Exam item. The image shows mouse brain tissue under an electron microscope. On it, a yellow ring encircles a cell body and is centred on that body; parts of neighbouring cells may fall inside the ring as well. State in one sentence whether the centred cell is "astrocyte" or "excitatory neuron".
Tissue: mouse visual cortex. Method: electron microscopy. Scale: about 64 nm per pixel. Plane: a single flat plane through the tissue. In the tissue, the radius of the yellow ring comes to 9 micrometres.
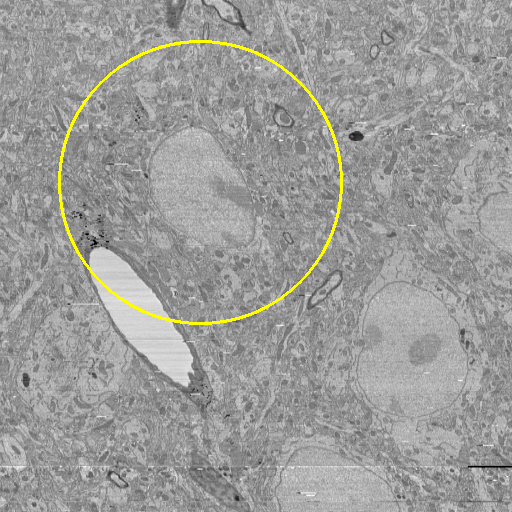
The cell body centred in the ring is an astrocyte.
